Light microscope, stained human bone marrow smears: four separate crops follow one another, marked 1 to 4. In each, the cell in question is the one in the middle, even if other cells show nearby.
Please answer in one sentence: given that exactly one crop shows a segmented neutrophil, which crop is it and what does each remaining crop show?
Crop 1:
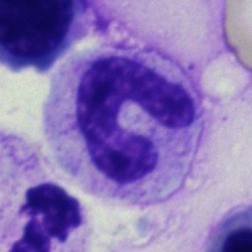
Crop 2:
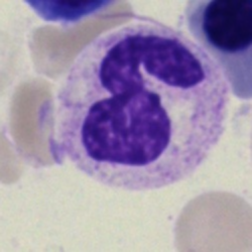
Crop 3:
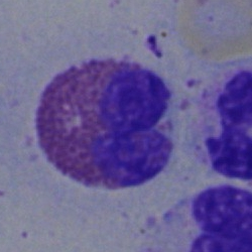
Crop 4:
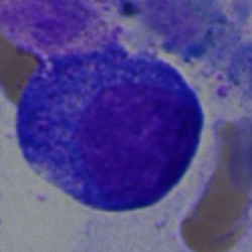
Crop 2 shows a segmented neutrophil, and meanwhile crop 1 is a band neutrophil, crop 3 is an eosinophil and crop 4 is a promyelocyte.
